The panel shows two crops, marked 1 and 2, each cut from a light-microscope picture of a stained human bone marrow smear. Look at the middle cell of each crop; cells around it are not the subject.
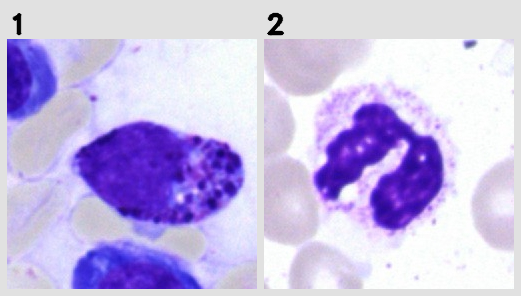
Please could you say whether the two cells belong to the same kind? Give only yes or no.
no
